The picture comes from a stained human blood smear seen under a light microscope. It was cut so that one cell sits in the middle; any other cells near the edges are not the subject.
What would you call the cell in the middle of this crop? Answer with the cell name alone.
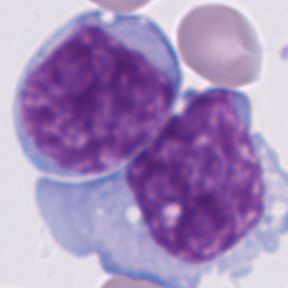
myeloblast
